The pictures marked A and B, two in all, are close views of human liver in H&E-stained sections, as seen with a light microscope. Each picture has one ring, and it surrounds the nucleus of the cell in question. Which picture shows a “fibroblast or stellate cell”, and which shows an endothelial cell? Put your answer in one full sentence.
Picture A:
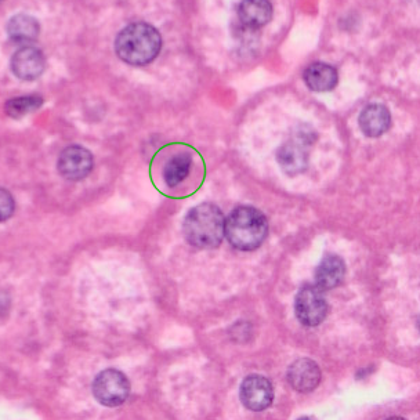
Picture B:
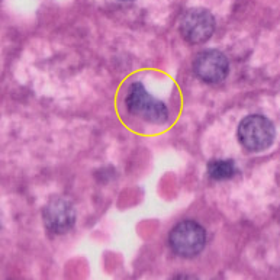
Picture A is of a “fibroblast or stellate cell”, and picture B is of an endothelial cell.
